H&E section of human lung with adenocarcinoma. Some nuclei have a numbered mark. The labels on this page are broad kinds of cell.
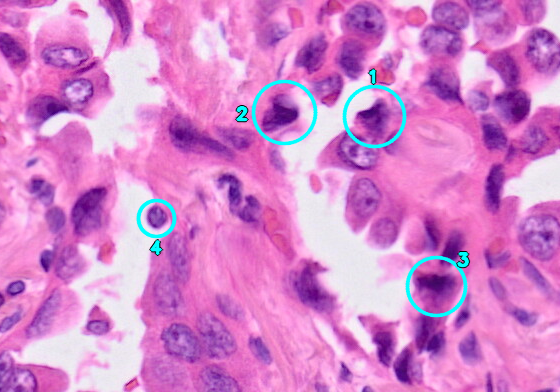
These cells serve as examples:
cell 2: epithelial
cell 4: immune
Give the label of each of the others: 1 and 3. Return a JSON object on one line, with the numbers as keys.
{"1": "epithelial", "3": "epithelial"}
